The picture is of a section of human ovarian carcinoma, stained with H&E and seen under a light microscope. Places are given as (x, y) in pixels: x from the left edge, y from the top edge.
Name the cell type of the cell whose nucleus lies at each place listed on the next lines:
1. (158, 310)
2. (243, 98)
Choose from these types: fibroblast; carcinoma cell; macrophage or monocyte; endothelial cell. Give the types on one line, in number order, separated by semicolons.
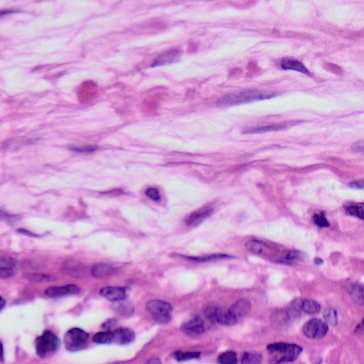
carcinoma cell; fibroblast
